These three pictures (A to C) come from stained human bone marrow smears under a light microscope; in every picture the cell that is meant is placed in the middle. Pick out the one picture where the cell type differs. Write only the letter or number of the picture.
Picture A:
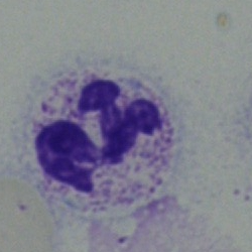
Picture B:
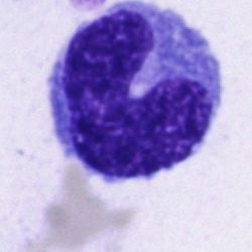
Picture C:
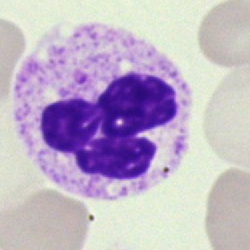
B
